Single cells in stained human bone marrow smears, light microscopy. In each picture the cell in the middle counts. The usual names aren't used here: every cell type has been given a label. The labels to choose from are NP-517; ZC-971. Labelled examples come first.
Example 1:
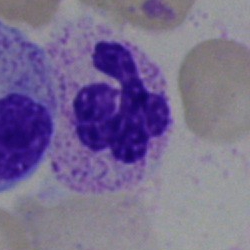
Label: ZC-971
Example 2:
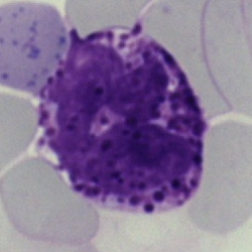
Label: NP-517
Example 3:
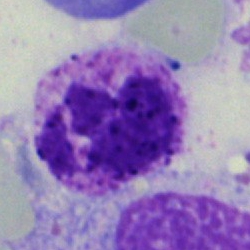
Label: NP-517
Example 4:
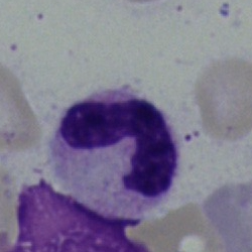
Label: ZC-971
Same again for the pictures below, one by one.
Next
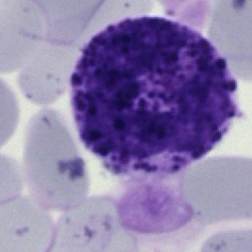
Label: NP-517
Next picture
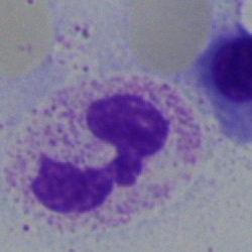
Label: ZC-971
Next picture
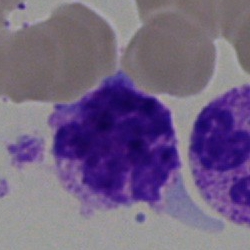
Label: NP-517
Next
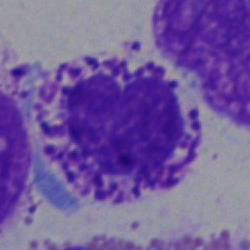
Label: NP-517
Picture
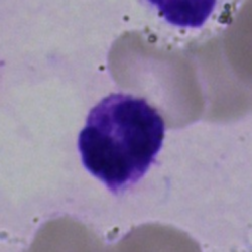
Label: NP-517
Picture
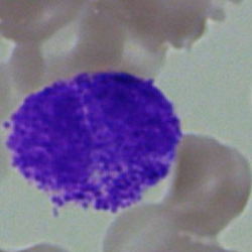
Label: NP-517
